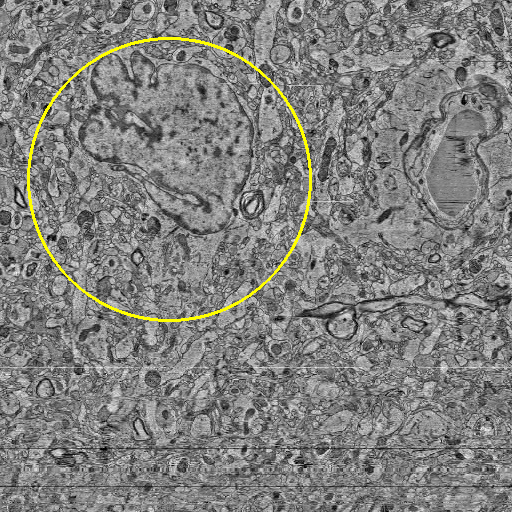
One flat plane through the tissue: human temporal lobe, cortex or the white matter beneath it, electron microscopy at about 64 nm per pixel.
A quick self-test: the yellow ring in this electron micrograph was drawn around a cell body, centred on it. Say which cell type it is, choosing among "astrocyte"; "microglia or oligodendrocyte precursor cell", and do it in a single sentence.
The yellow-ringed cell is a microglial cell or oligodendrocyte precursor cell.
